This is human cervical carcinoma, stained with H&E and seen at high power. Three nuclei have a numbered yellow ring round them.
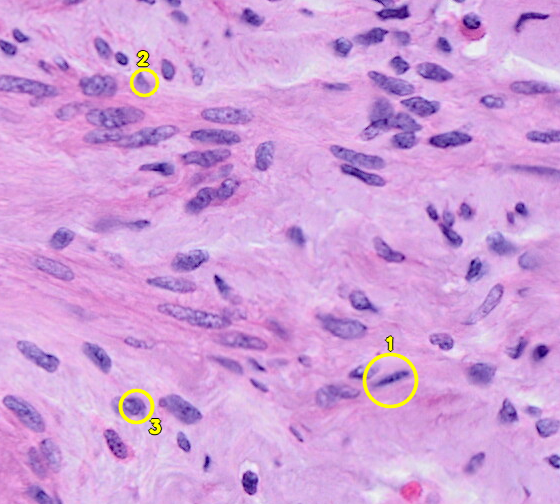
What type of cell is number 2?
smooth muscle cell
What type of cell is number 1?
fibroblast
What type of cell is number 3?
fibroblast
